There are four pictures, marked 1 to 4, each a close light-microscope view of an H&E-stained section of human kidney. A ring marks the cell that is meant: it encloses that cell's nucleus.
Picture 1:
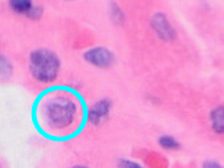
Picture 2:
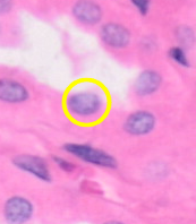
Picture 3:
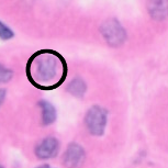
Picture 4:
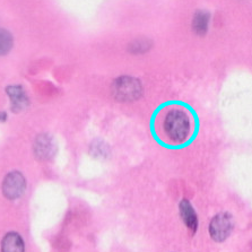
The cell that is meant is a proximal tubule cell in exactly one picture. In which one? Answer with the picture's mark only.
4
